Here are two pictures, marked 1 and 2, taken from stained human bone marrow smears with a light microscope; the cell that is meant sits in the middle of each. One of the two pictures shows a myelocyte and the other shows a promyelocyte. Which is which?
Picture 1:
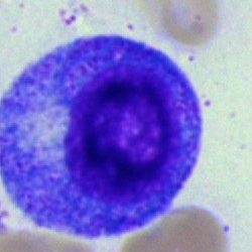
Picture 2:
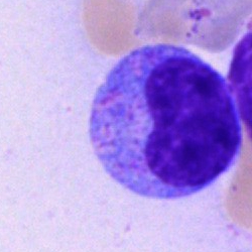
1: promyelocyte
2: myelocyte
